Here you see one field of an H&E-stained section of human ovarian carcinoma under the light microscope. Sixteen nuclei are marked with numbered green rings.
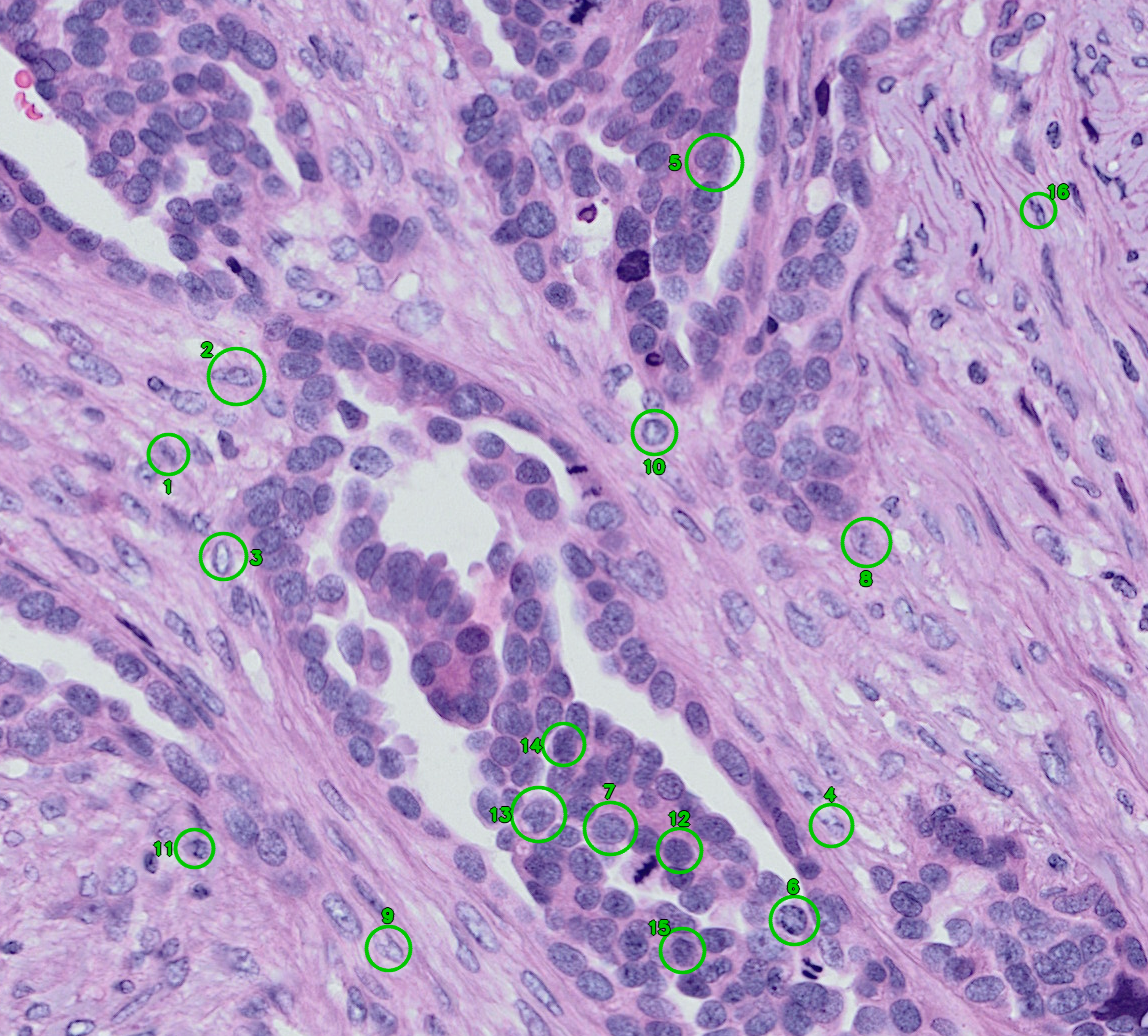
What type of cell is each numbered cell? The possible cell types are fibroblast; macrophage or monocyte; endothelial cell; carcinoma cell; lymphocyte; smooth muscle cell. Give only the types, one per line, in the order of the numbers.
fibroblast
fibroblast
fibroblast
fibroblast
carcinoma cell
macrophage or monocyte
carcinoma cell
fibroblast
fibroblast
fibroblast
macrophage or monocyte
carcinoma cell
carcinoma cell
carcinoma cell
carcinoma cell
fibroblast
